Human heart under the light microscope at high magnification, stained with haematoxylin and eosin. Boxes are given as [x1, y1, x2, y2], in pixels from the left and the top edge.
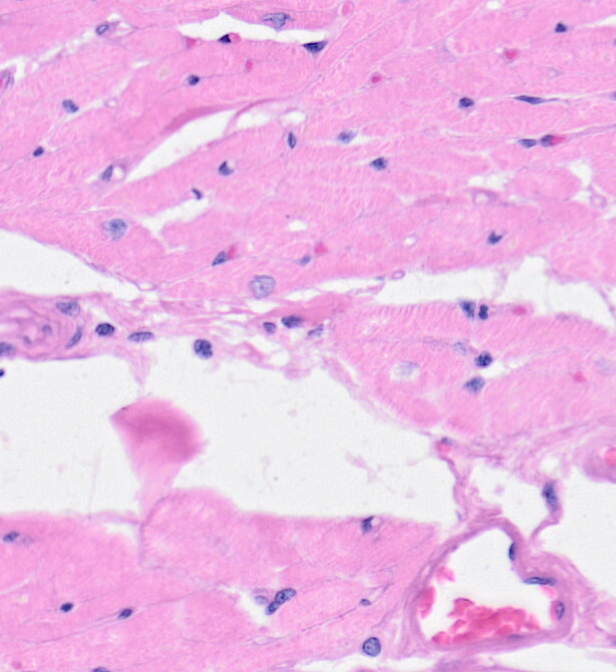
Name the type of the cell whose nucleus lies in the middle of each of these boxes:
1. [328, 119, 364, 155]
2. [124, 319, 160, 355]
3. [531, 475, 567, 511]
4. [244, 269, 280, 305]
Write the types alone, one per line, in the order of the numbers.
endothelial cell
fibroblast
fibroblast
cardiomyocyte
